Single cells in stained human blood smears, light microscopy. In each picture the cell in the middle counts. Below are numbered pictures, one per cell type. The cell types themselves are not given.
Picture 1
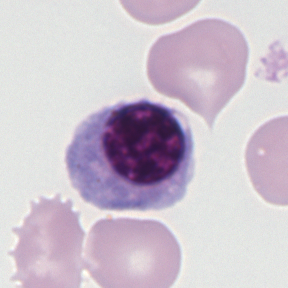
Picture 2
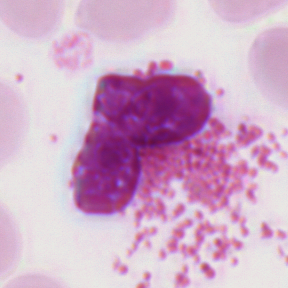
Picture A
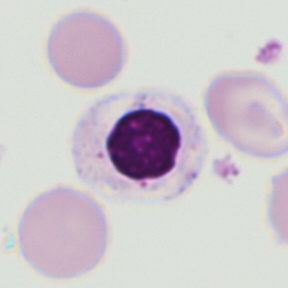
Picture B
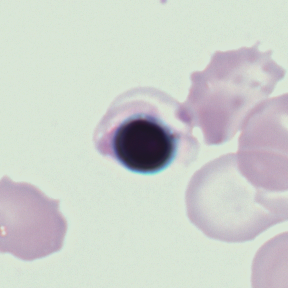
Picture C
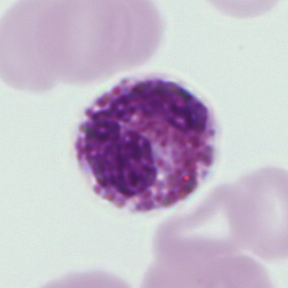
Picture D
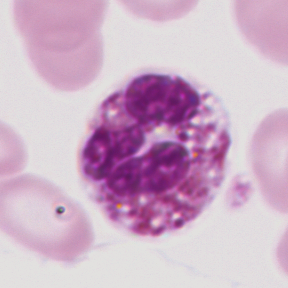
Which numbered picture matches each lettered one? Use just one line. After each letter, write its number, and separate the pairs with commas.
A 1, B 1, C 2, D 2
